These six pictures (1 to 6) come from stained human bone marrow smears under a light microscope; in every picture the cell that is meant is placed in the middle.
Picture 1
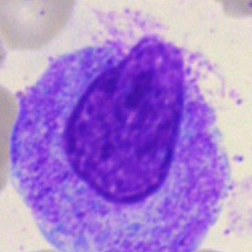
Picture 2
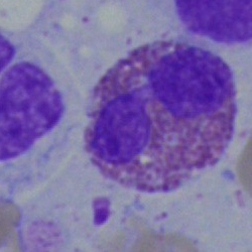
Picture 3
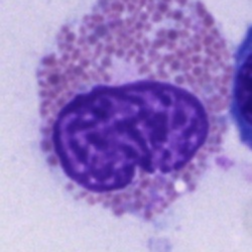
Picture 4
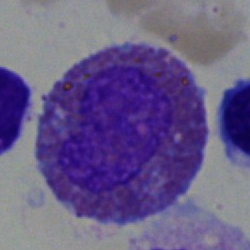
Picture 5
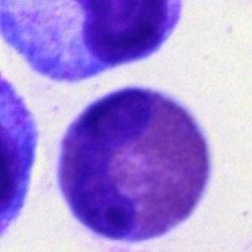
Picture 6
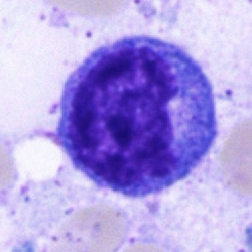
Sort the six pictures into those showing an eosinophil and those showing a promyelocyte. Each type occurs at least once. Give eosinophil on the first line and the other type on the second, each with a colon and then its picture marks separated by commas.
eosinophil: 2, 3, 4, 5
promyelocyte: 1, 6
